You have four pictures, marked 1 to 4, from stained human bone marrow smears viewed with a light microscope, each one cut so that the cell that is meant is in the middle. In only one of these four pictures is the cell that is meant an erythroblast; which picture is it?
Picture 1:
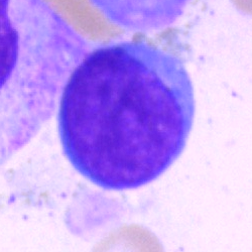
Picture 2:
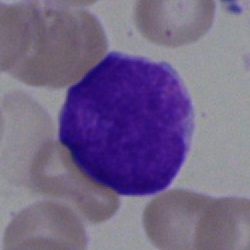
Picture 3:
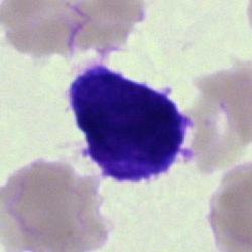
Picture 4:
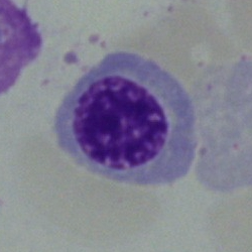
4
